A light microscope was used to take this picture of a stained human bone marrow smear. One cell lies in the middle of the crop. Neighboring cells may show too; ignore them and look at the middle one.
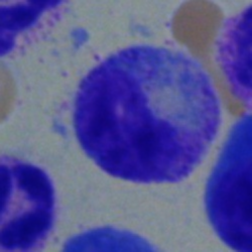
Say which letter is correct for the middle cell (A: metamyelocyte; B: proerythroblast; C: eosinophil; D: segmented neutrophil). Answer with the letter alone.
A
